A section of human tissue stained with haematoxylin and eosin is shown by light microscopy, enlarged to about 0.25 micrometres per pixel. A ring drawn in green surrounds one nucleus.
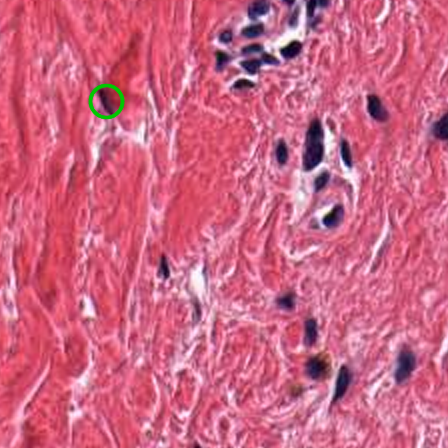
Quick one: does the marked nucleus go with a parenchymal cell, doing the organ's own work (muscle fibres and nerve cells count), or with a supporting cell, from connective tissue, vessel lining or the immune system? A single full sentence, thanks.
The marked nucleus in this section is part of a supporting cell.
